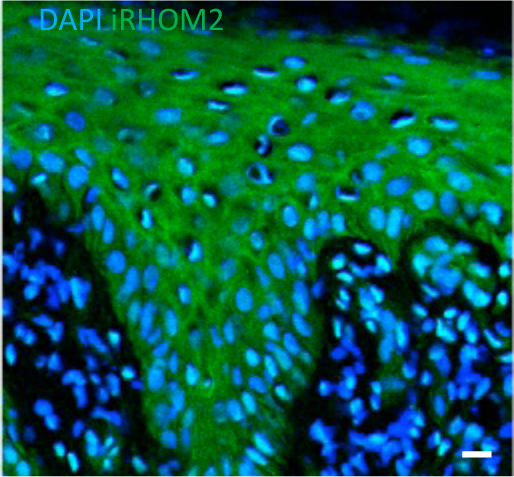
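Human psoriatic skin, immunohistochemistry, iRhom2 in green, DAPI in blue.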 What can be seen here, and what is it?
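The epidermal cells have oval blue nuclei and cytoplasm diffusely filled with green, and many nuclei appear cyan where green overlaps the blue. Toward the surface the nuclei become flatter and more widely spaced. At the lower left and right, the dermis between the projections holds crowded small blue nuclei with little green.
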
